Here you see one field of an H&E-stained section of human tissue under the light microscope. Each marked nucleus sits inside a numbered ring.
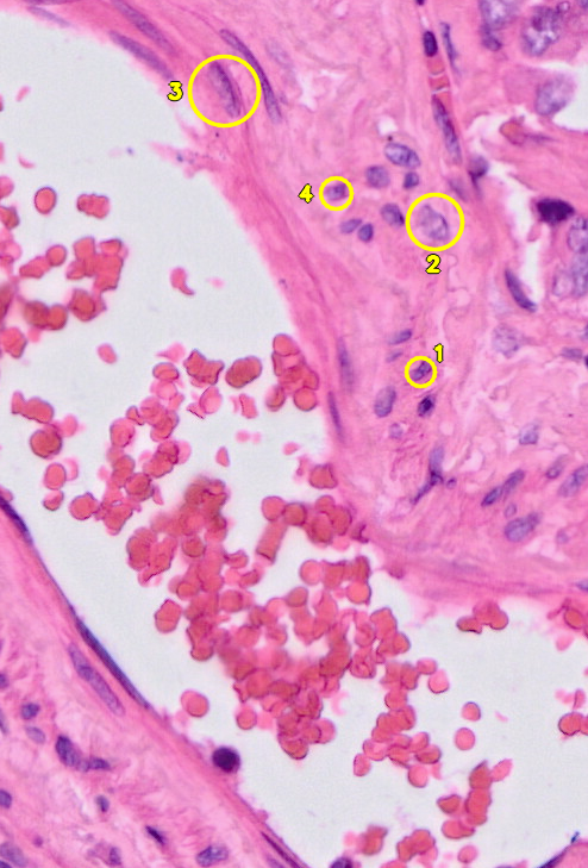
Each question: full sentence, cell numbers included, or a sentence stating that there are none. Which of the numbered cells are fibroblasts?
Cell 2, and no other numbered cell, is a fibroblast.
